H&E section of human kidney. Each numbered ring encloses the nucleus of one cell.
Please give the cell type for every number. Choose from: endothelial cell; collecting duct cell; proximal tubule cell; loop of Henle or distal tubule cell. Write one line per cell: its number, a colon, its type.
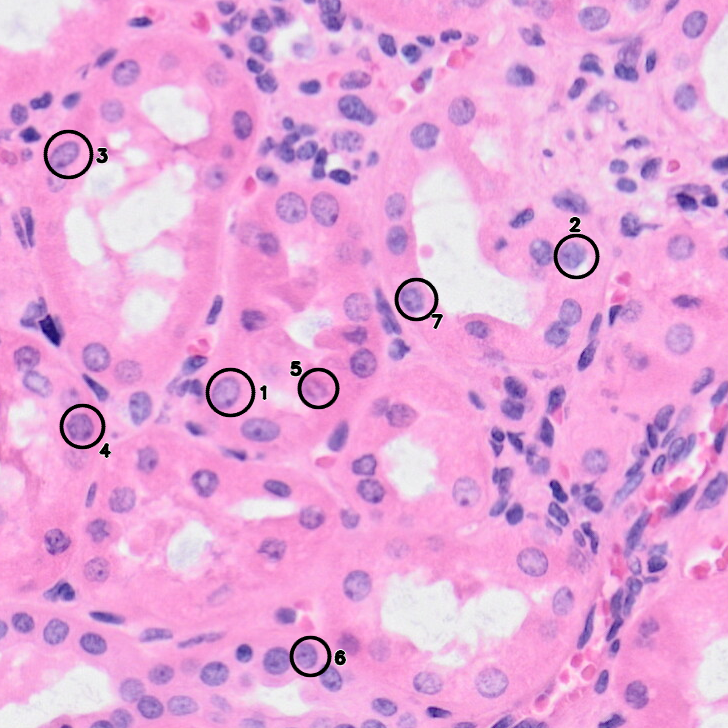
1: proximal tubule cell
2: loop of Henle or distal tubule cell
3: proximal tubule cell
4: proximal tubule cell
5: proximal tubule cell
6: collecting duct cell
7: loop of Henle or distal tubule cell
